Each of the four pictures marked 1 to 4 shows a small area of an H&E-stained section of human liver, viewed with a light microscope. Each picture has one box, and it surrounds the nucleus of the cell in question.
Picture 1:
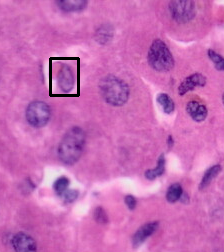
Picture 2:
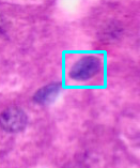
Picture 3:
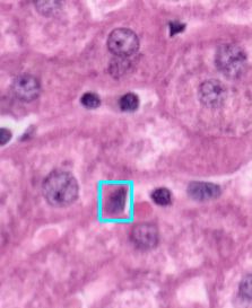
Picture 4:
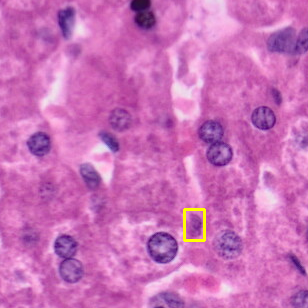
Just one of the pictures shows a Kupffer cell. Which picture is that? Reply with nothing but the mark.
1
